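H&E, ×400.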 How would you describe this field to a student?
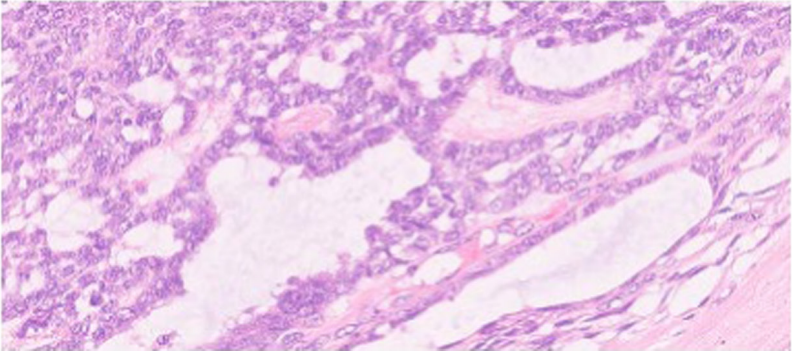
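This is a tumour forming glandular-like structures: cells with round to oval purple nuclei line irregular, branching open spaces that hold pale, wispy material. Solid nests of similar cells lie between the spaces, and a band of pink fibrous stroma runs along one edge.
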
